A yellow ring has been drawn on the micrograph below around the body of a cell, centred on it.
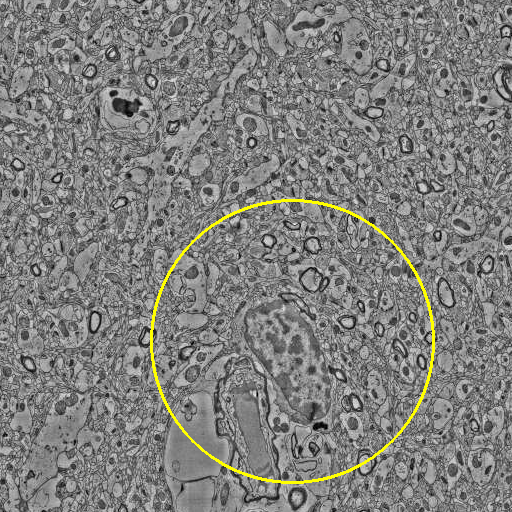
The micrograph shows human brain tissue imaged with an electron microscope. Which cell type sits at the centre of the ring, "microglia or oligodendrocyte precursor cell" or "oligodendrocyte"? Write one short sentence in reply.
The cell sitting at the centre of the ring is an oligodendrocyte.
